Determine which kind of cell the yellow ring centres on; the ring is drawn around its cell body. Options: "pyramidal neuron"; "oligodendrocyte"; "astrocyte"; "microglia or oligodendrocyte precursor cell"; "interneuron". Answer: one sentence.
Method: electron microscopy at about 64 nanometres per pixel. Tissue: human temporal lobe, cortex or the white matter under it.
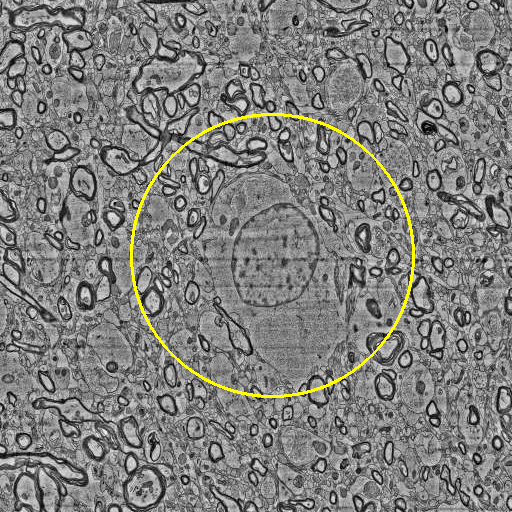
The ring centres on an astrocyte.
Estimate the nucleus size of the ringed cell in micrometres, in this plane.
The nucleus measures about 7 by 5 micrometres in this plane.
